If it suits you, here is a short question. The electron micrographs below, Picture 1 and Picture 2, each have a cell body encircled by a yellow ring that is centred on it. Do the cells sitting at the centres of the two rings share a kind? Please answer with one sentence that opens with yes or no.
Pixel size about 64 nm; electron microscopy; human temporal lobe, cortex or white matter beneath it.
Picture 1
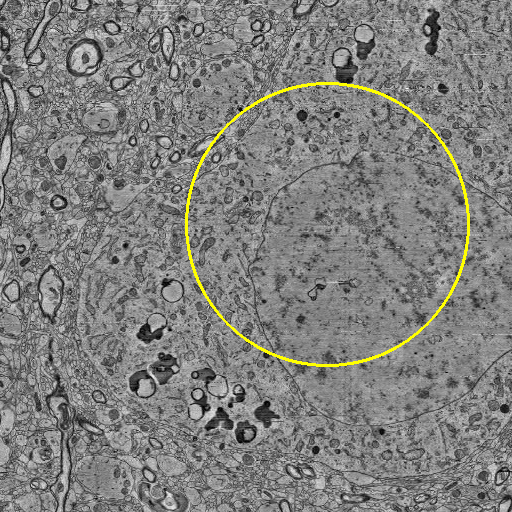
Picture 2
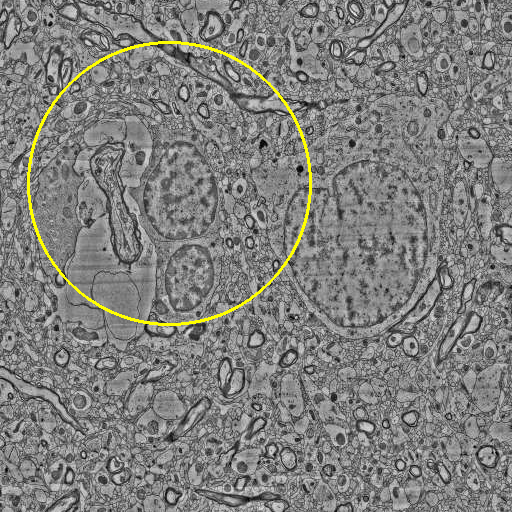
No, the two cells sitting at the ring centres fall into two kinds.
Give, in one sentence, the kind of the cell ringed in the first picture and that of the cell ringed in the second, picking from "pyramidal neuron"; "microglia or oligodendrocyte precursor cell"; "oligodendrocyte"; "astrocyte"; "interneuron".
For the first picture it is a pyramidal neuron; for the second, an oligodendrocyte.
